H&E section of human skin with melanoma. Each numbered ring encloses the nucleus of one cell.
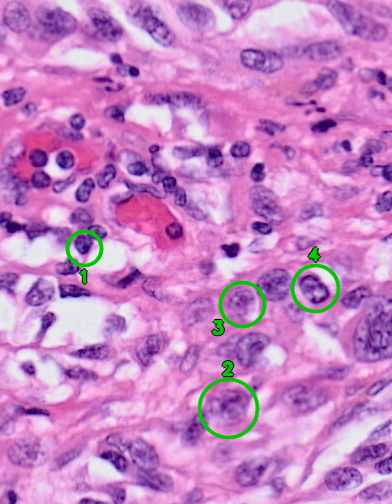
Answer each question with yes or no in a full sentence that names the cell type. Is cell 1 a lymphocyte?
Yes, the cell marked with number 1 is a lymphocyte.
